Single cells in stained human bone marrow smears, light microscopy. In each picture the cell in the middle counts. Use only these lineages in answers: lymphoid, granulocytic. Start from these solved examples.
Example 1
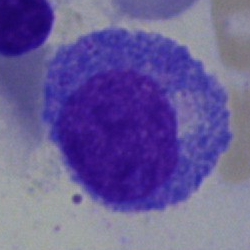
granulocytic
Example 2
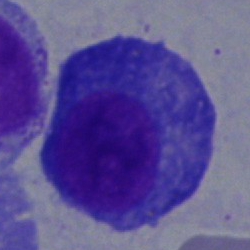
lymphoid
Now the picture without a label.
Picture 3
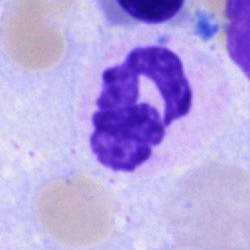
granulocytic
